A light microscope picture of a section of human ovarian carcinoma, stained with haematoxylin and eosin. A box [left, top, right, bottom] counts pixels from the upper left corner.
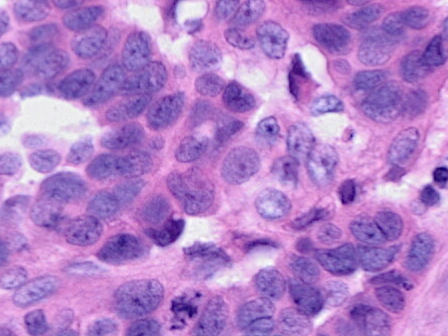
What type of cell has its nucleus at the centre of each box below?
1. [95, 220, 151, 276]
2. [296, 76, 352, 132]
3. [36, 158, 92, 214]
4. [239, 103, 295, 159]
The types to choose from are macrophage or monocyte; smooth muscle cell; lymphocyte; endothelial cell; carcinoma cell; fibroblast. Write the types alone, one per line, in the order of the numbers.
carcinoma cell
macrophage or monocyte
carcinoma cell
macrophage or monocyte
